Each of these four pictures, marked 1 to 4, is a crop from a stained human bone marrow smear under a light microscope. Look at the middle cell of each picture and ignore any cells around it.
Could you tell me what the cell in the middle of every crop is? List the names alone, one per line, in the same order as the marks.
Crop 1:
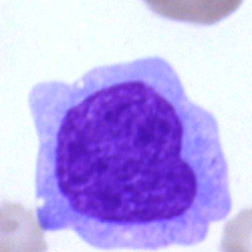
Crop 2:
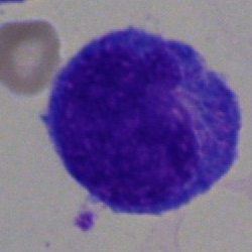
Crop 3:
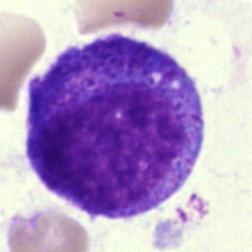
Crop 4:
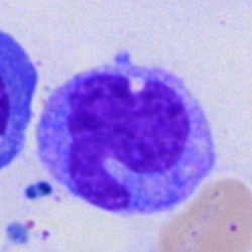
monocyte
promyelocyte
promyelocyte
monocyte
